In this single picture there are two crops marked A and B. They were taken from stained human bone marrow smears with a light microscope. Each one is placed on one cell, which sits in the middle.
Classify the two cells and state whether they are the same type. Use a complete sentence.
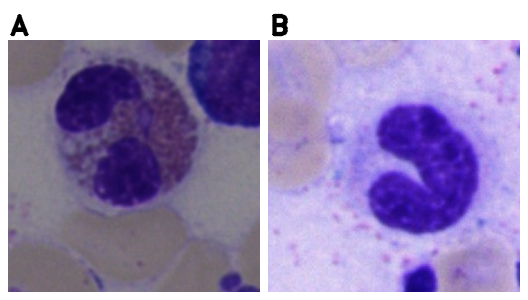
No, the middle of crop A holds an eosinophil, and the middle of crop B holds a band neutrophil.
